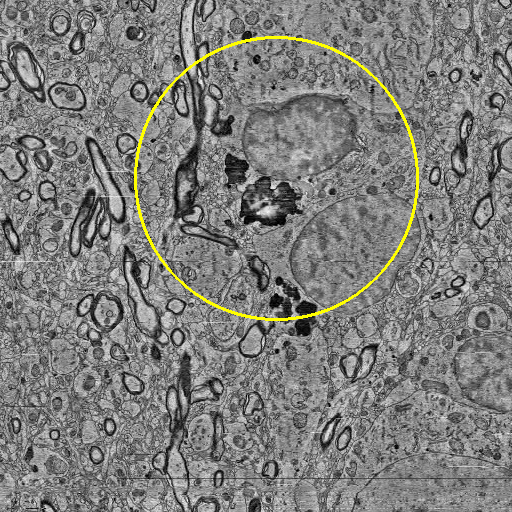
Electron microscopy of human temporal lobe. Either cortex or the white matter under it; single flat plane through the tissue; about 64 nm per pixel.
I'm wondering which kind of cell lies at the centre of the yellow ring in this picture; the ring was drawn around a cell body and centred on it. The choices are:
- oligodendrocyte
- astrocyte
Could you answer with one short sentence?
At the centre of the ring lies an oligodendrocyte.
